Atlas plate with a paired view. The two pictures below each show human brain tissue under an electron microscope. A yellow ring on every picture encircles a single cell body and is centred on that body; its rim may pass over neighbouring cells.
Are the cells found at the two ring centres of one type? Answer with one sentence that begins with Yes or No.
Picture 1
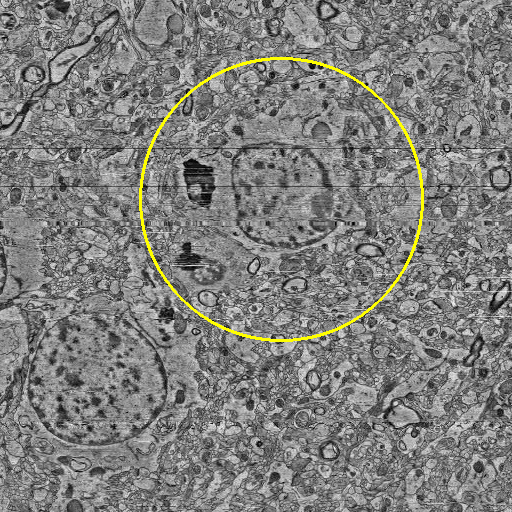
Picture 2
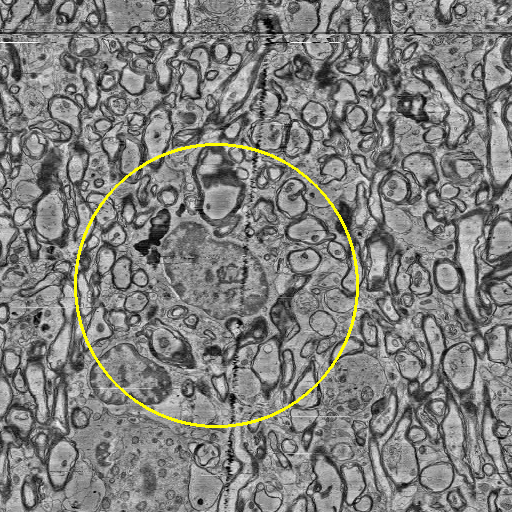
No, the two cells lying at the centres of the rings are of two types.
